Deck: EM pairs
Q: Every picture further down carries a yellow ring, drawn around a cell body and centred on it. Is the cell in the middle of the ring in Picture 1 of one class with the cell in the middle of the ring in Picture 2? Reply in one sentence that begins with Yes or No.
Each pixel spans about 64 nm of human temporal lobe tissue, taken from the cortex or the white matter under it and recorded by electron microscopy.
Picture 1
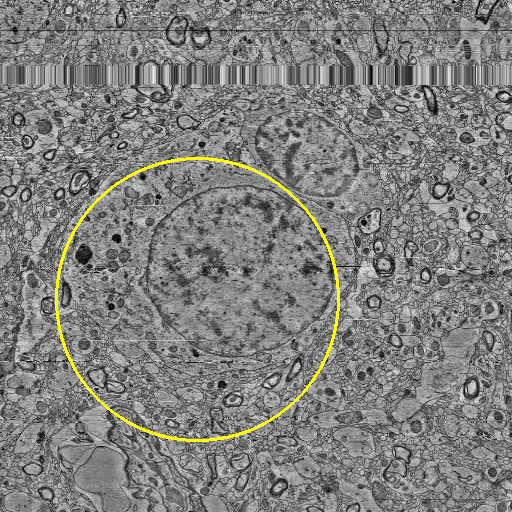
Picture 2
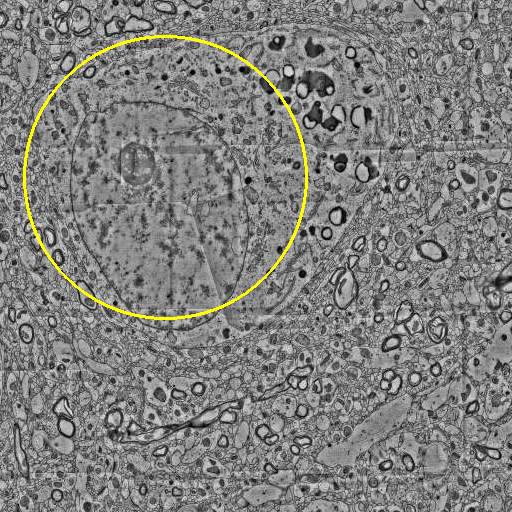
Yes, the cell centred in the ring of Picture 1 and the one in Picture 2 belong to one class.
